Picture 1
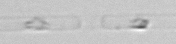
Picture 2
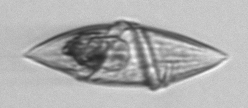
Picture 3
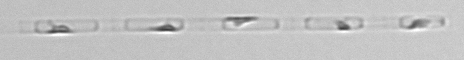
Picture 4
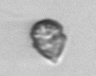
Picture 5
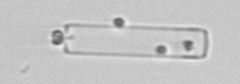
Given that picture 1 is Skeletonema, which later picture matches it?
3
